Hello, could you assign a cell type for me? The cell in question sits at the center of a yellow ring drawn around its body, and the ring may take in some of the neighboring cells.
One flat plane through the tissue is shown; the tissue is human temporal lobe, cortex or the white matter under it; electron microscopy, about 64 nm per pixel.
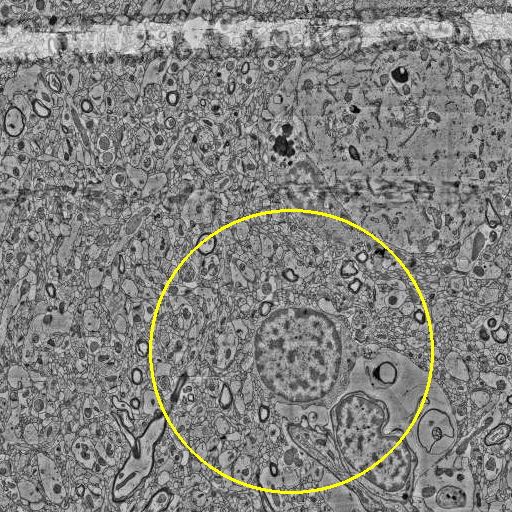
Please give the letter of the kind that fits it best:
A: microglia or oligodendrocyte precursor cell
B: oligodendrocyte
B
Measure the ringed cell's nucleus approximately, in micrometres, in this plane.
The nucleus of the ringed cell is approximately 6 micrometres across in this plane.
